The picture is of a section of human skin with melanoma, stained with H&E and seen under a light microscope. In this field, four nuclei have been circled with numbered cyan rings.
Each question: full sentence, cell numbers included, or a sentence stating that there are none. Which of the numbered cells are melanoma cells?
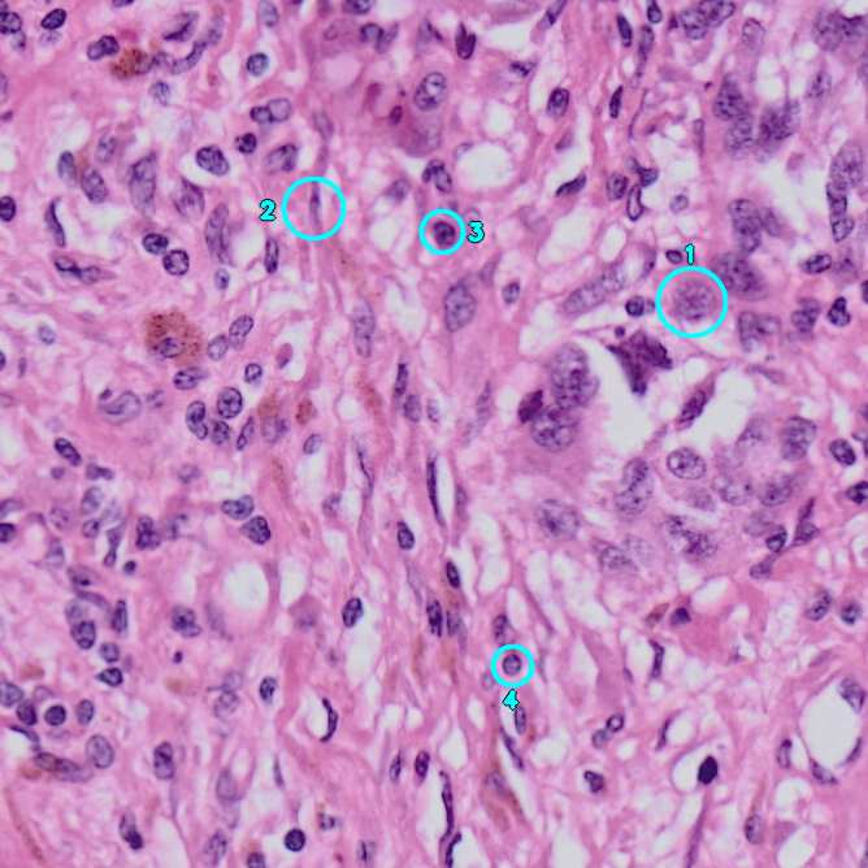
Where the numbered cells are concerned, only number 1 is a melanoma cell.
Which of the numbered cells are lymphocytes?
Cell 4 alone, of all the numbered cells, is a lymphocyte.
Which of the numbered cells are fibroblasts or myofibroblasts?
Cell 2 is a fibroblast or myofibroblast; every other numbered cell is something else.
